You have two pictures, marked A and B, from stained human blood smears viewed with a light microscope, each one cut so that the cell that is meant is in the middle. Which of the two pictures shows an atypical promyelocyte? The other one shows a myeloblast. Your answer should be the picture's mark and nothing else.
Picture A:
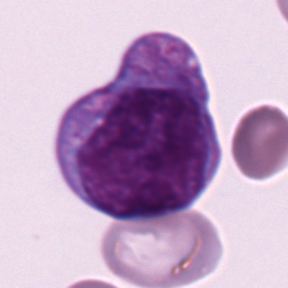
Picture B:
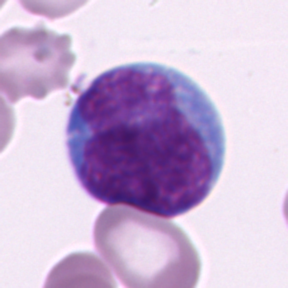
A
